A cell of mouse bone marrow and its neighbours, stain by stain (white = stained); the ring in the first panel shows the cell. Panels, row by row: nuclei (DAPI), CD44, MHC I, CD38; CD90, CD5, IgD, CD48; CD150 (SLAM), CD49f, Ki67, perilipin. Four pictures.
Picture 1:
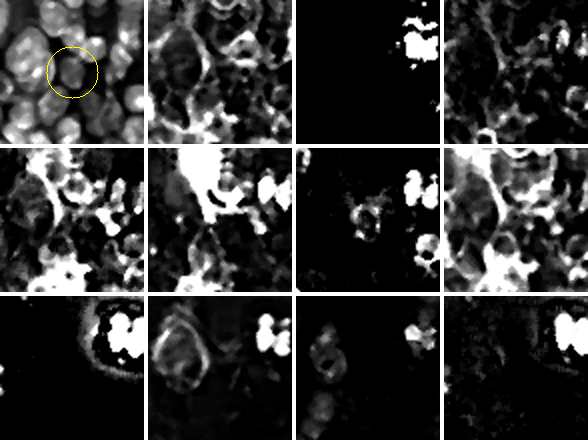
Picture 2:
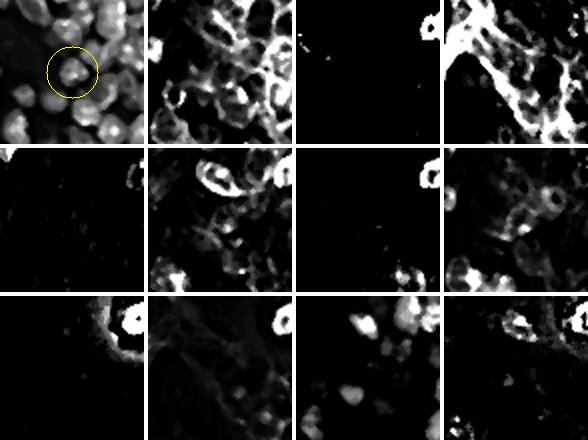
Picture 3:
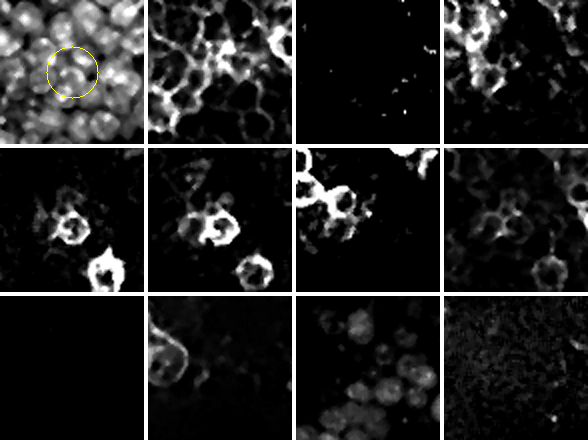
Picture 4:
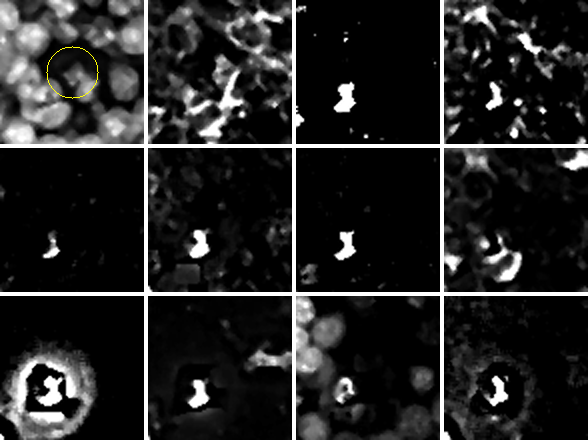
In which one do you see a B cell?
In picture 1.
